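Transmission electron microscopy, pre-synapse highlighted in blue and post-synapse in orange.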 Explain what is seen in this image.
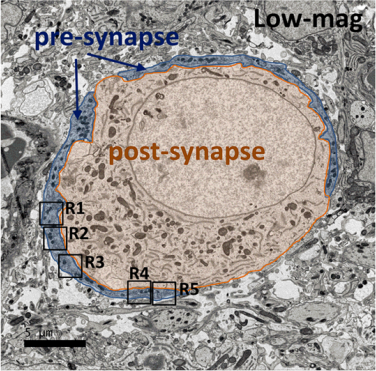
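The cell body is round to oval with a large round nucleus of fine granular chromatin and a small dark nucleolus. Its cytoplasm holds many small dark organelles scattered throughout.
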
